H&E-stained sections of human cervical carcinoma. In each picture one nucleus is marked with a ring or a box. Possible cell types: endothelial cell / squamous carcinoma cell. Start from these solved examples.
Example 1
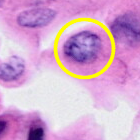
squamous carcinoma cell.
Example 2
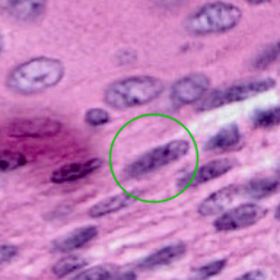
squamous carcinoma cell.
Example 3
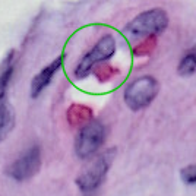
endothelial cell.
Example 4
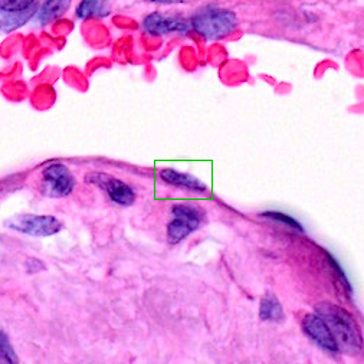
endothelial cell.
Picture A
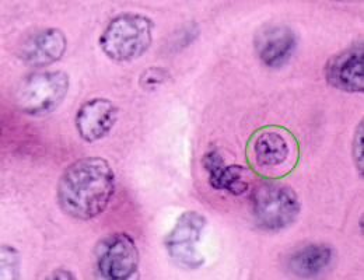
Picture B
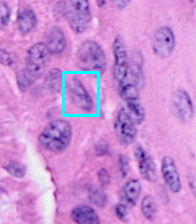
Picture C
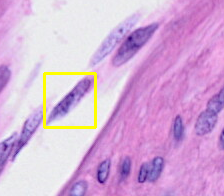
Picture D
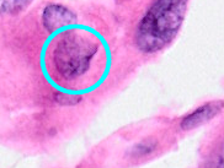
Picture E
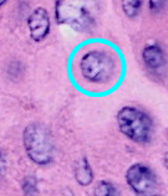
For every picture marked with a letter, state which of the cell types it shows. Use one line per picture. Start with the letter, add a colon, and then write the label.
A: squamous carcinoma cell.
B: squamous carcinoma cell.
C: endothelial cell.
D: squamous carcinoma cell.
E: squamous carcinoma cell.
